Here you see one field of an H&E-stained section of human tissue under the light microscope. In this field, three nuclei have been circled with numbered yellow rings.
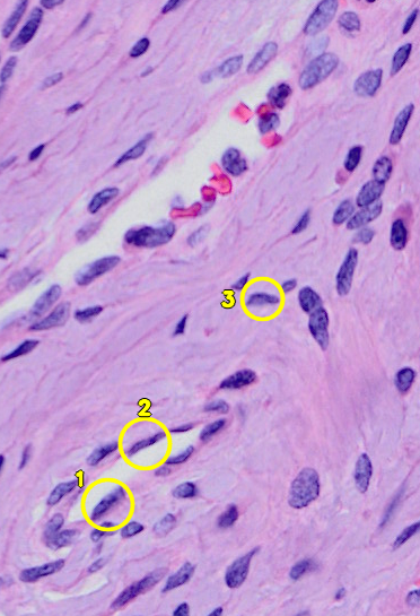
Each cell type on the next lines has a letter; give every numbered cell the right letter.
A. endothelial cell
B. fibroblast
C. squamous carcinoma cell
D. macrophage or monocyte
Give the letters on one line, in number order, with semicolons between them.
A; A; B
